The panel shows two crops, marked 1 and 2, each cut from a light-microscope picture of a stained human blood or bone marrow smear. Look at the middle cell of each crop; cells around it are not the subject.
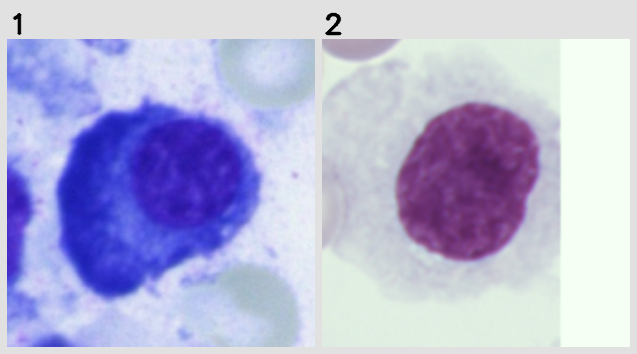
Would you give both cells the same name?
no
